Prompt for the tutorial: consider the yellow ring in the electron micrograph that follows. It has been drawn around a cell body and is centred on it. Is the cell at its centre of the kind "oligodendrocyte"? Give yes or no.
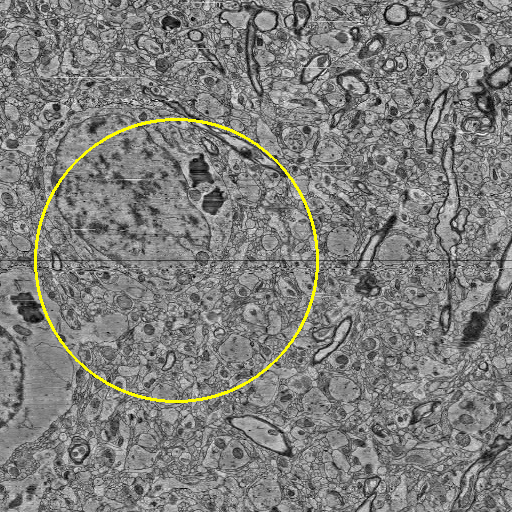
no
